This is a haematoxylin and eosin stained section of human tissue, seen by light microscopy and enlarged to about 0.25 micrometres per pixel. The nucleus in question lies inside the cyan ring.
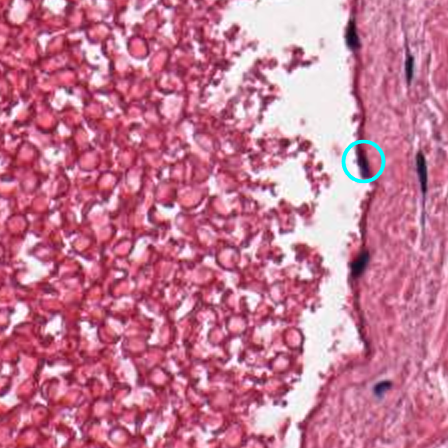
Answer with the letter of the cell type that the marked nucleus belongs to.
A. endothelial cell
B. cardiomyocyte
A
